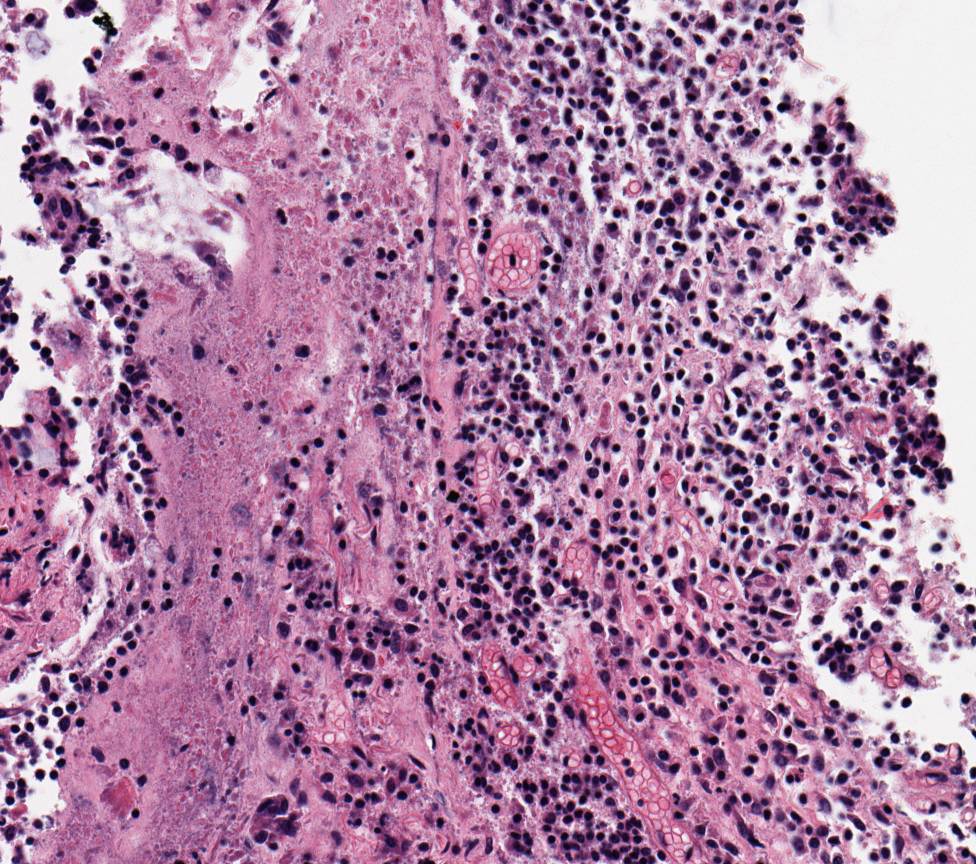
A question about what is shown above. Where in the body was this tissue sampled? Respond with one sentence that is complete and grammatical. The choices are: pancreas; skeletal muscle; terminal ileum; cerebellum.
This tissue was harvested from the terminal ileum.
